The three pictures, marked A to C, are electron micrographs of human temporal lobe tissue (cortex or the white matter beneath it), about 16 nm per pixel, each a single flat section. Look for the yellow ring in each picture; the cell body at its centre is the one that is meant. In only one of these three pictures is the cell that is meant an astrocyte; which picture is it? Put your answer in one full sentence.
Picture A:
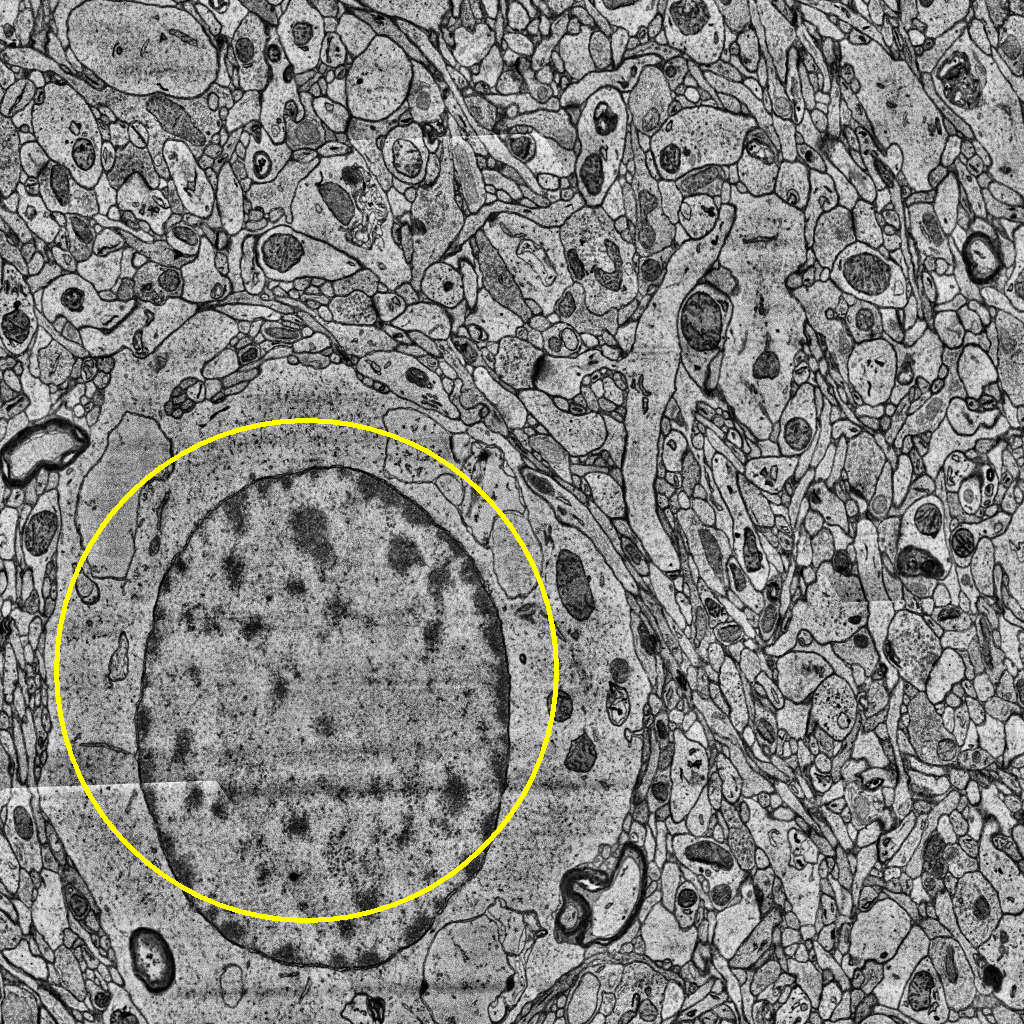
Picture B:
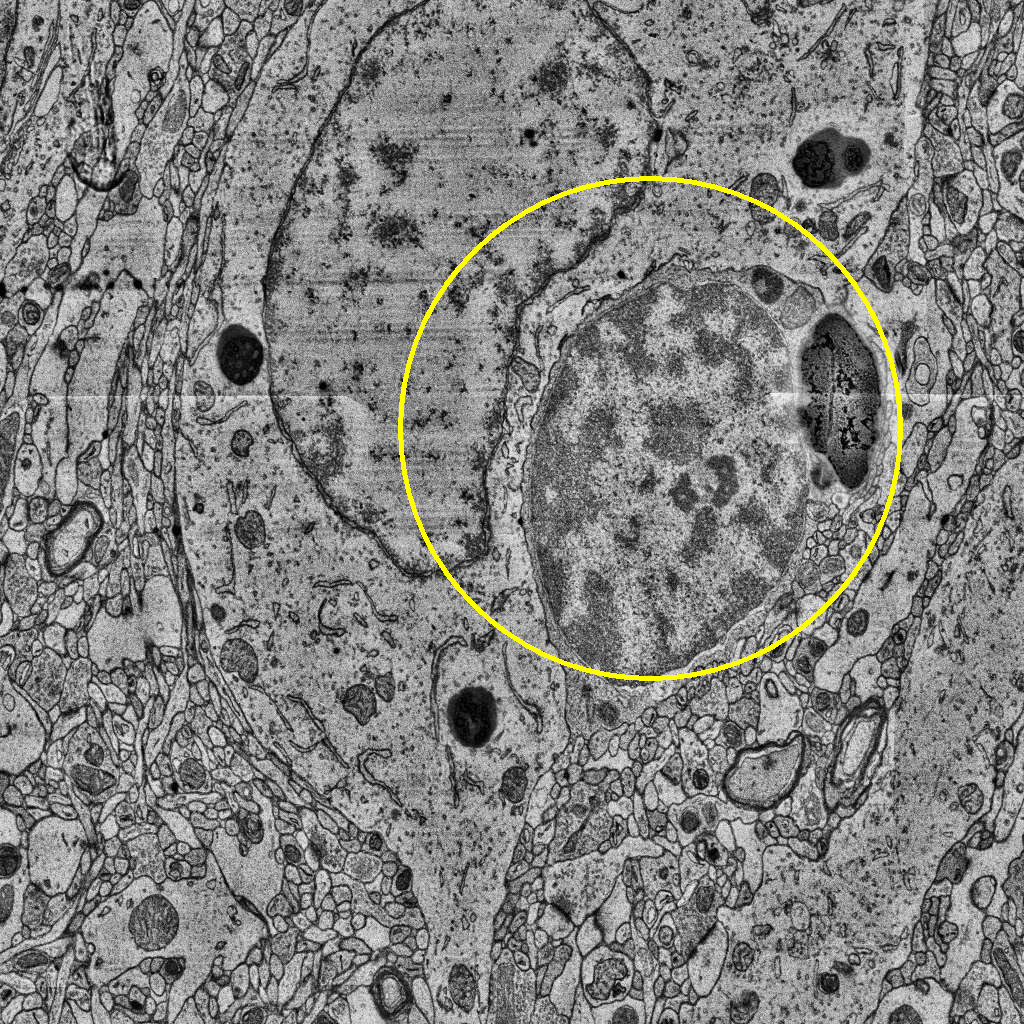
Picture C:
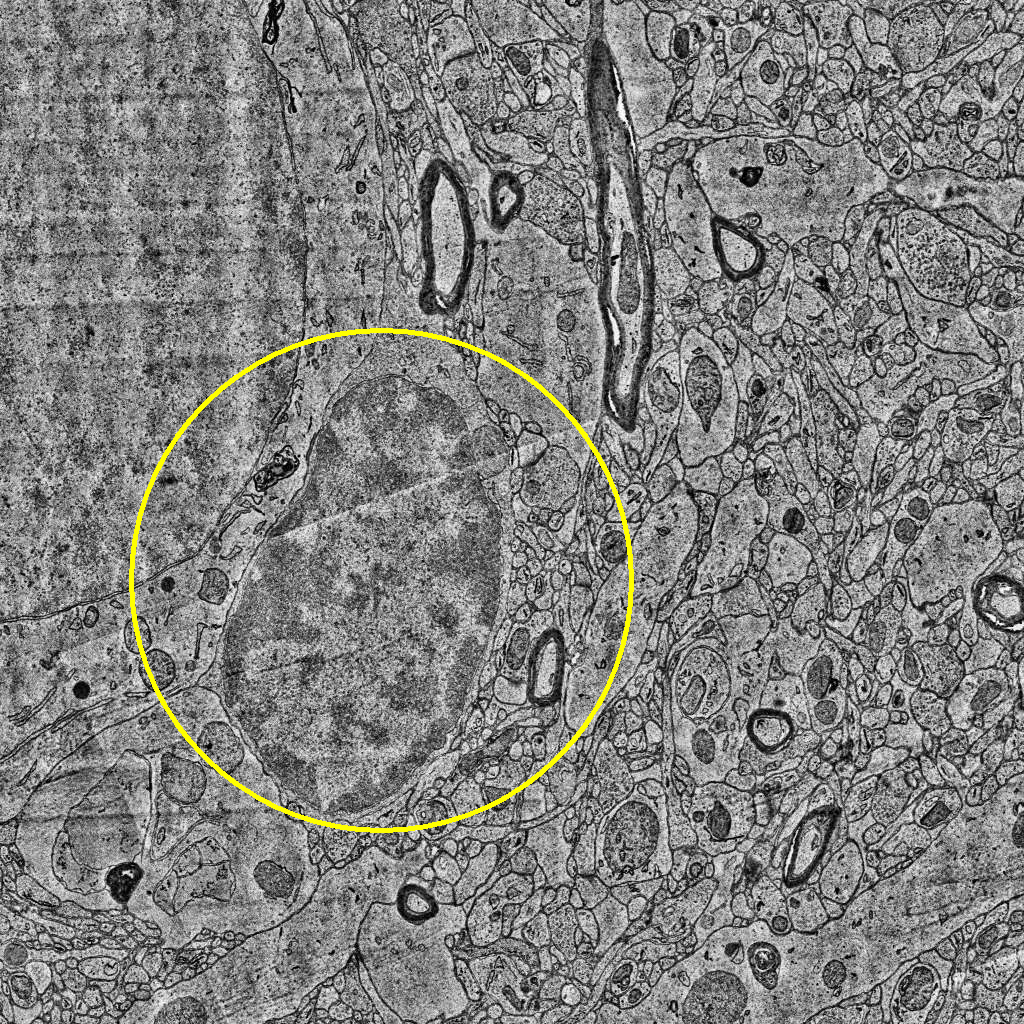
The cell in picture A is the astrocyte.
